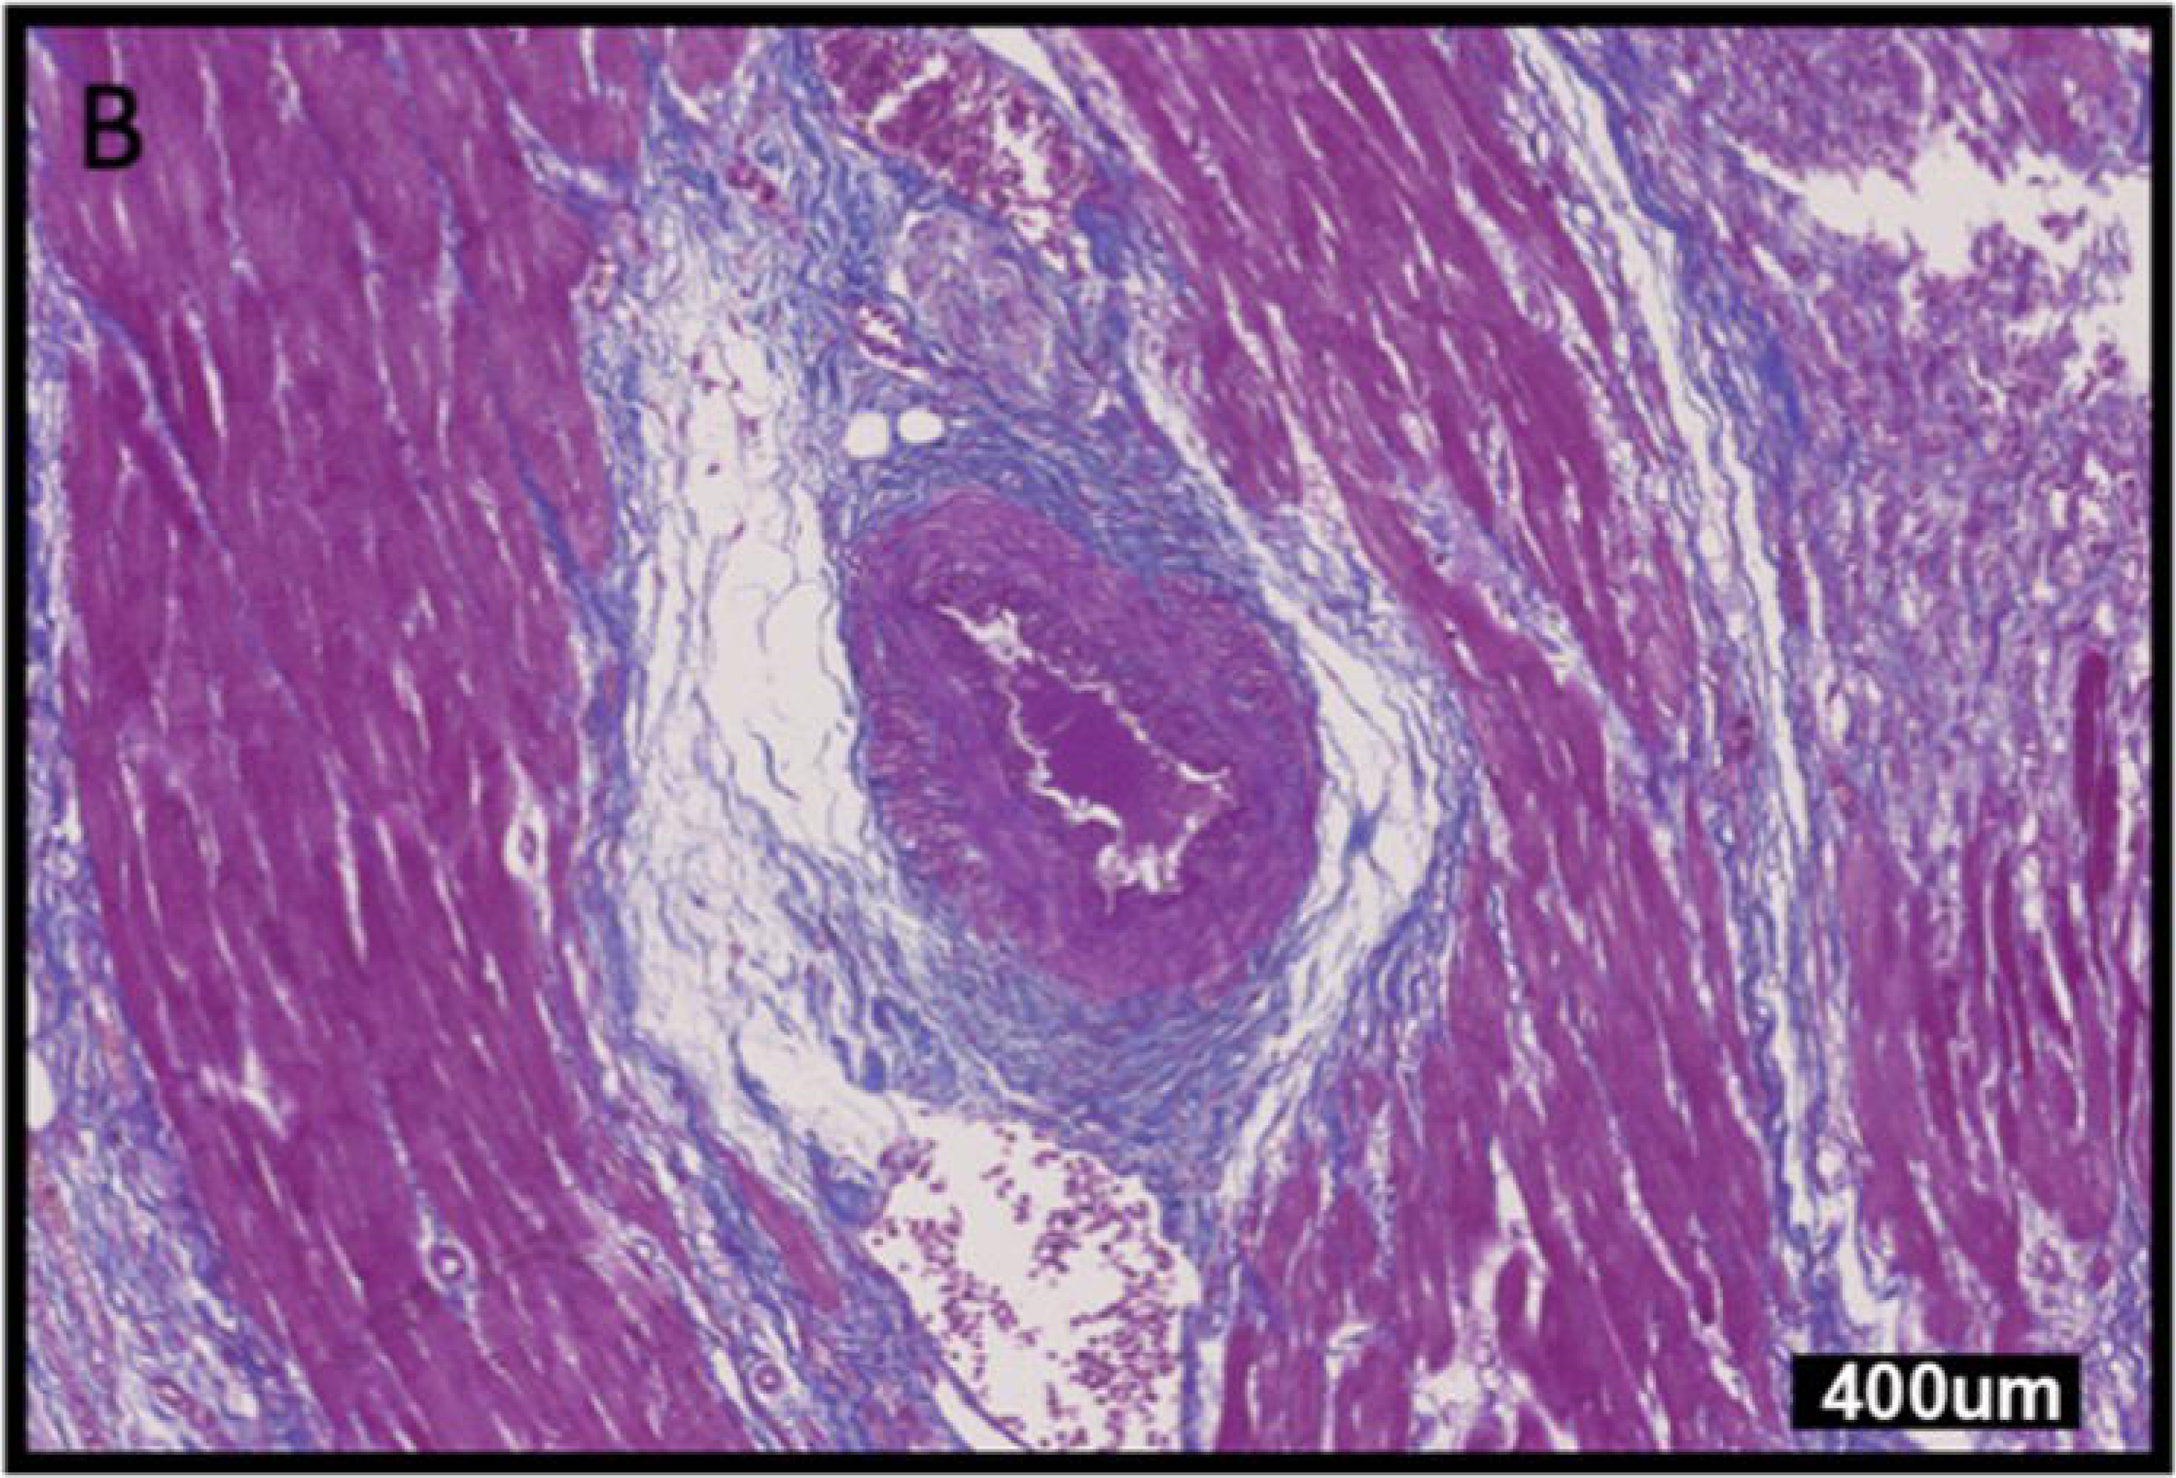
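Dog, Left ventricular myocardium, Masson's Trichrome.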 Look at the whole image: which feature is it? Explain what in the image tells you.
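A round vessel with a narrow lumen and a thick purple muscular wall sits in the centre. Blue-staining connective tissue surrounds the vessel wall. Myocardial fibres run past on both sides.
Conclusion: intramural coronary vasculature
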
